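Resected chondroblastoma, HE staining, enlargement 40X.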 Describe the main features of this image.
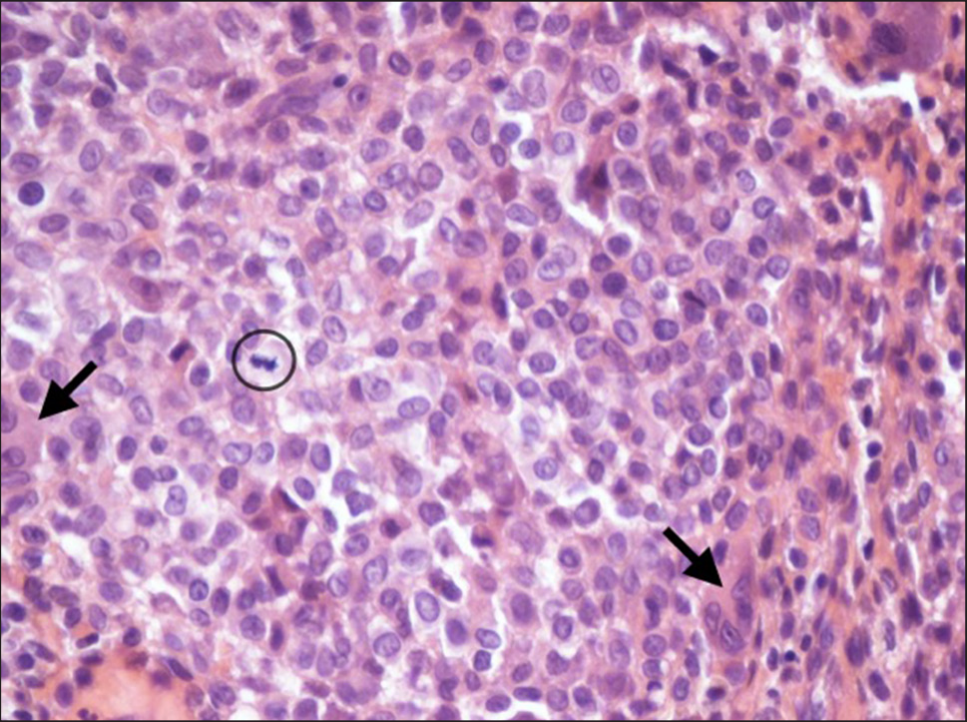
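This field is a dense sheet of compact, rounded tumor cells packed closely together with little space between them. Their nuclei are oval and purple, many with a fold or groove that gives them a bean-like shape, and each sits in a rim of pale pink cytoplasm with a fairly sharp border. In one cell the nucleus is replaced by a dark, condensed clump of chromosomes, a dividing cell. Here and there, at the edges of the field, lie patches of pink-red, cell-free material between the cells, and larger cells with abundant pink cytoplasm stand among the small round ones.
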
